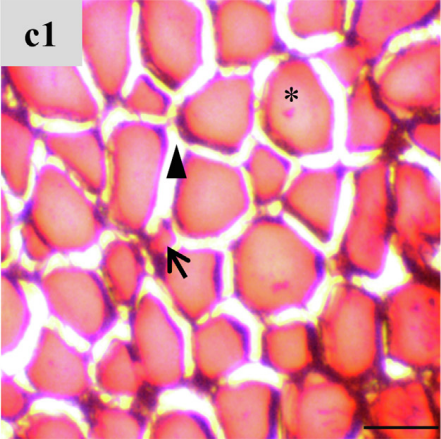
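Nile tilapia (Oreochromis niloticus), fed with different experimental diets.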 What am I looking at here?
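Transverse section of white skeletal muscle with closely packed, rounded to polygonal fibres stained pink to orange-red. Fibres are large and of varying size, with narrow white gaps between them outlined by darker purplish borders. A few small fibres lie among the large ones, and small purple dots mark nuclei within fibres.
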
